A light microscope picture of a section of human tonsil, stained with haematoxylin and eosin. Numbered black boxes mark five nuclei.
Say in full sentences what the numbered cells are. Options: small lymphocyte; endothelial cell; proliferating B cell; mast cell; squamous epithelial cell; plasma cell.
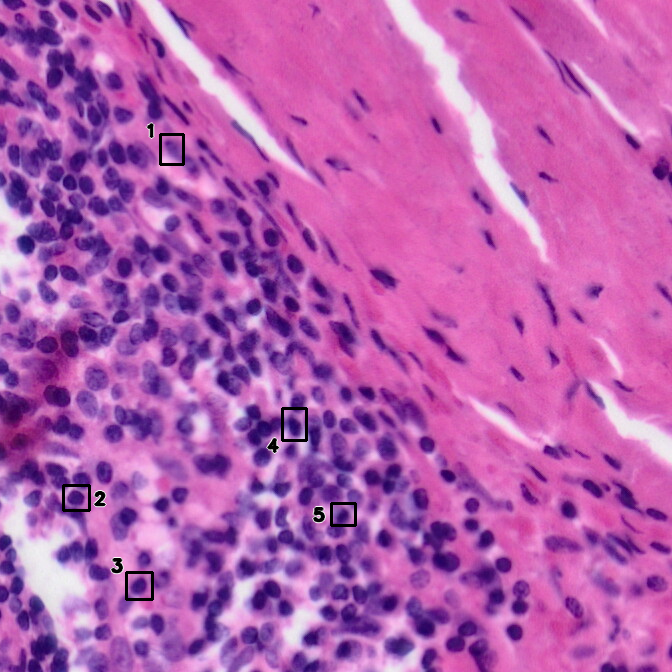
Cell 1 is an endothelial cell, cell 2 is a small lymphocyte, cell 3 is an endothelial cell, cell 4 is a small lymphocyte and cell 5 is a small lymphocyte.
